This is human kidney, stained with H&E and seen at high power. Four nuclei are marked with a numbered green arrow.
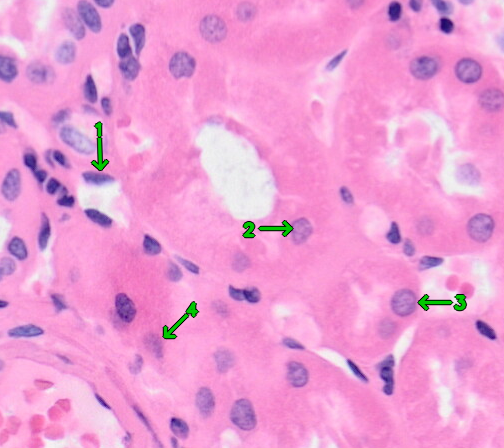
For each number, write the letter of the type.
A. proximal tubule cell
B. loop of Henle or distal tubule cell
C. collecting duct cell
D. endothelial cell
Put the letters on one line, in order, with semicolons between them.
D; A; A; A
